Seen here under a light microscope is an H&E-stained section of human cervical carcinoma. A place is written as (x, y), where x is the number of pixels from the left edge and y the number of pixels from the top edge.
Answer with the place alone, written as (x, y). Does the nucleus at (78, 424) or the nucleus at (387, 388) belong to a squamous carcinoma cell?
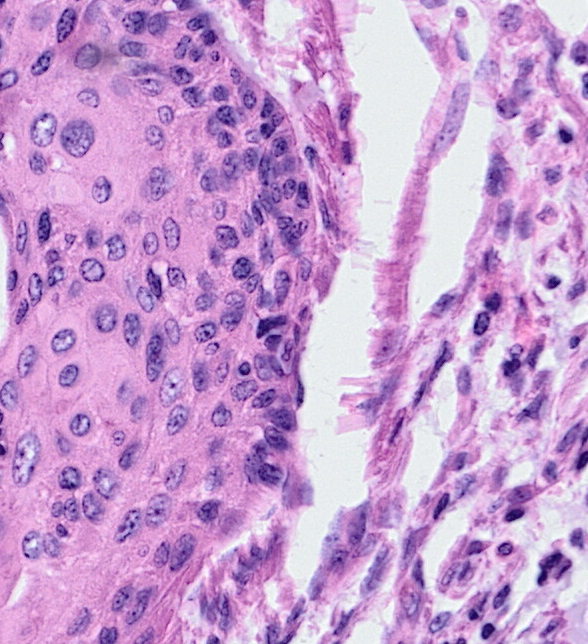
(78, 424)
